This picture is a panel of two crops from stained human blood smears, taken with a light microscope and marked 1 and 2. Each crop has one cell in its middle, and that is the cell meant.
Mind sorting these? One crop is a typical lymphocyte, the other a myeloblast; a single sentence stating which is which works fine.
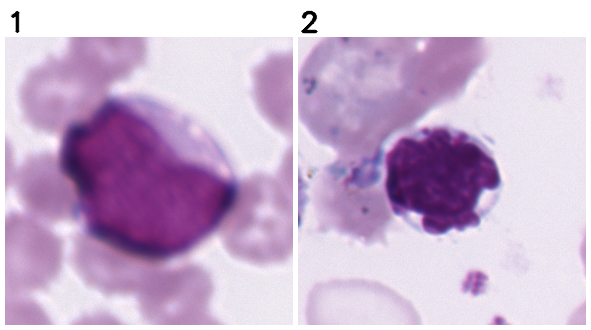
Crop 1 is classified as a myeloblast, and crop 2 as a typical lymphocyte.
